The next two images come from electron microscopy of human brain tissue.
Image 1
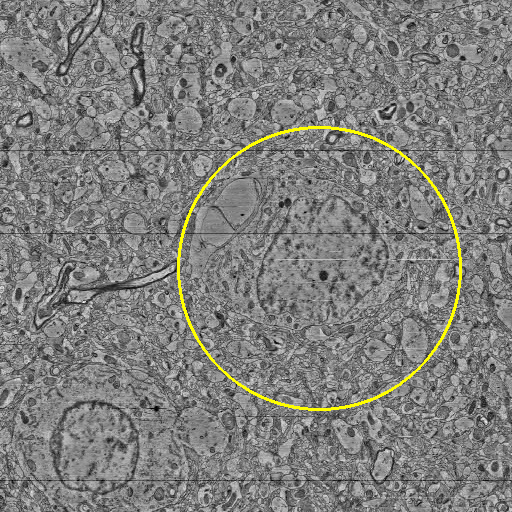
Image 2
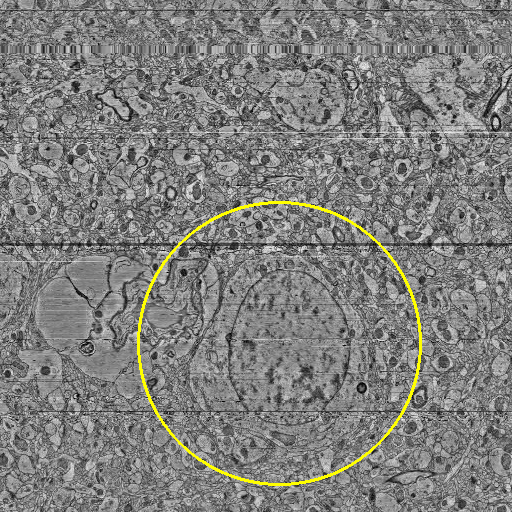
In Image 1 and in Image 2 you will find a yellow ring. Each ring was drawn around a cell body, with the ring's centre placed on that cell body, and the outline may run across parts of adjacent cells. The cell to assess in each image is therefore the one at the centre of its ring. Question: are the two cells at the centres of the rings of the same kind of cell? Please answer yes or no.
no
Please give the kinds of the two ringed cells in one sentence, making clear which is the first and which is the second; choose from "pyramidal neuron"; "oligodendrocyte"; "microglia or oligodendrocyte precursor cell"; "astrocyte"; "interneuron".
In the second picture the ringed cell is a pyramidal neuron; in the first it is an interneuron.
